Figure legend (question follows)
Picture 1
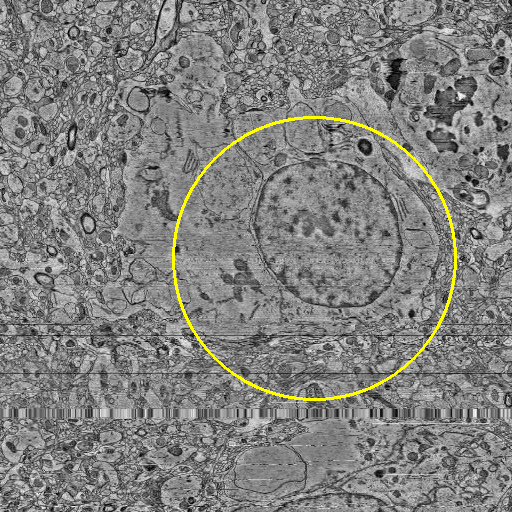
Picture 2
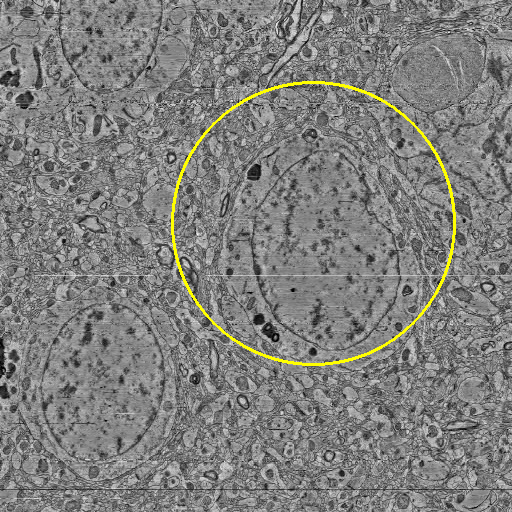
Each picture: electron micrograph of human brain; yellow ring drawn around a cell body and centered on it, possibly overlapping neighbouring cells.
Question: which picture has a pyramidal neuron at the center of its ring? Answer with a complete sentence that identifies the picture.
Picture 2 has it at the center of its ring.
